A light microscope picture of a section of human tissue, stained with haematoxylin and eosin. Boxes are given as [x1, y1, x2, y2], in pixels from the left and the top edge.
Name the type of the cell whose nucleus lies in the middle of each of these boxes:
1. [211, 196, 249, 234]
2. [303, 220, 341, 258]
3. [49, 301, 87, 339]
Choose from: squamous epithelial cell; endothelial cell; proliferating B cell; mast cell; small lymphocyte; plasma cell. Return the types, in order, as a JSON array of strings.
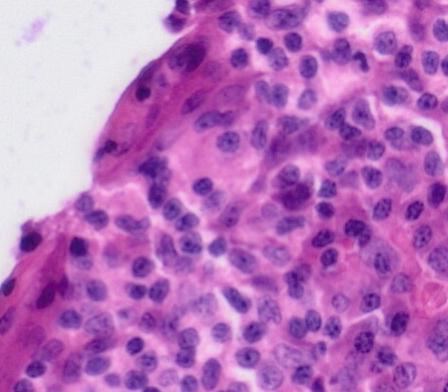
["squamous epithelial cell", "plasma cell", "squamous epithelial cell"]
